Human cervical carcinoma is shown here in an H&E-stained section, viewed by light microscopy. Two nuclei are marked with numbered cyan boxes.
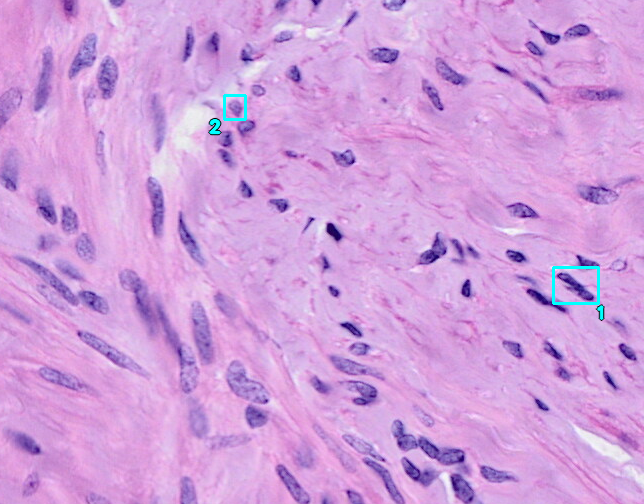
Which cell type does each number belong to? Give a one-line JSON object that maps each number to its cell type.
{"1": "fibroblast", "2": "smooth muscle cell"}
